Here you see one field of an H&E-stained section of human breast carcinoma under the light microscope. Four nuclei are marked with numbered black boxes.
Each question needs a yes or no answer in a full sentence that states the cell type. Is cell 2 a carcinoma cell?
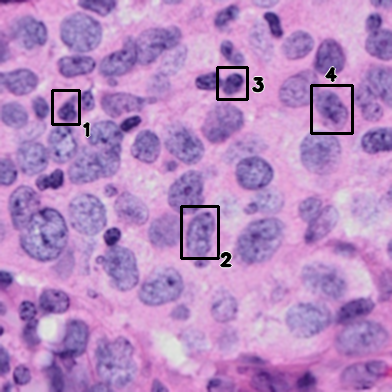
Yes, so the cell at label 2 is a carcinoma cell.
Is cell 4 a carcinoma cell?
Yes, the number 4 belongs to a carcinoma cell.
